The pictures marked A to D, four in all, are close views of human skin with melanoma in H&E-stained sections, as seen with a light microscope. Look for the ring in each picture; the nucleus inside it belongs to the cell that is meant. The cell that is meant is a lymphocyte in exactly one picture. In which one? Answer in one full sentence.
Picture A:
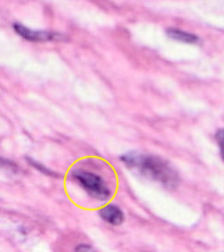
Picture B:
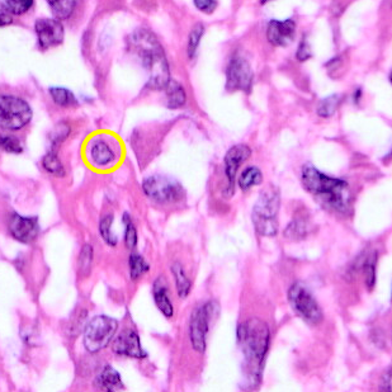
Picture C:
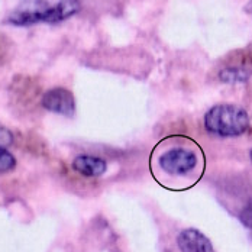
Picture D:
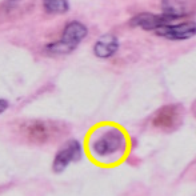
The lymphocyte is the one in picture C.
